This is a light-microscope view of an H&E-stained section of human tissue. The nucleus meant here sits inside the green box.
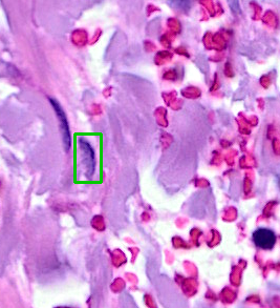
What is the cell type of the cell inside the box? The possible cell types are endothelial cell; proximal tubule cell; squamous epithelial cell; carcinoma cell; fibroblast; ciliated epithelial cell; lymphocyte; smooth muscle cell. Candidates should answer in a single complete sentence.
The cell type represented by the cell inside the box is that of a fibroblast.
